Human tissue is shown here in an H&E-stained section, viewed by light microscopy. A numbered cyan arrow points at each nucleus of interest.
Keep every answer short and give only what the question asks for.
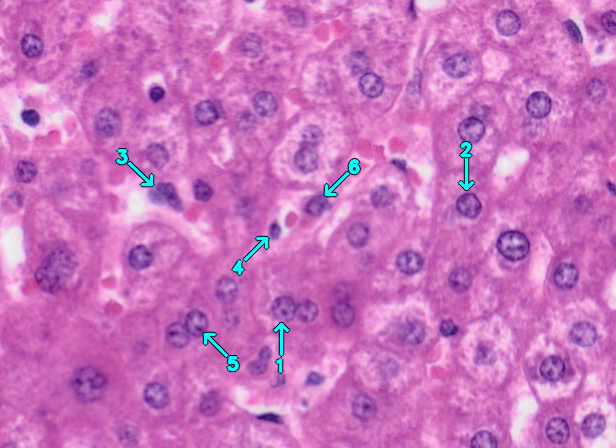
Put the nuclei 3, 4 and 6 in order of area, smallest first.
4, 6, 3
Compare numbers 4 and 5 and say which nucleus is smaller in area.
4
